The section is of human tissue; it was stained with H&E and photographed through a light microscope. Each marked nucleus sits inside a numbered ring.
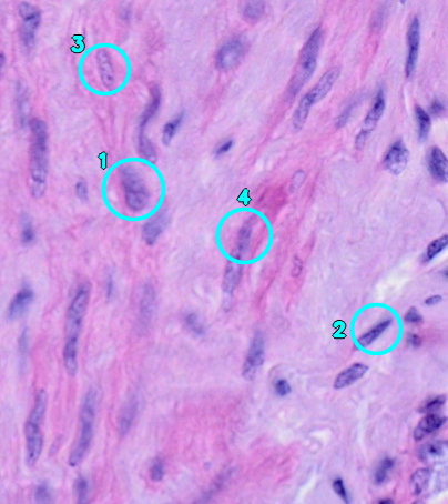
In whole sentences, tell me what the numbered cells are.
Cell 1 is a smooth muscle cell, cell 2 is a fibroblast, cell 3 is a smooth muscle cell and cell 4 is a smooth muscle cell.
